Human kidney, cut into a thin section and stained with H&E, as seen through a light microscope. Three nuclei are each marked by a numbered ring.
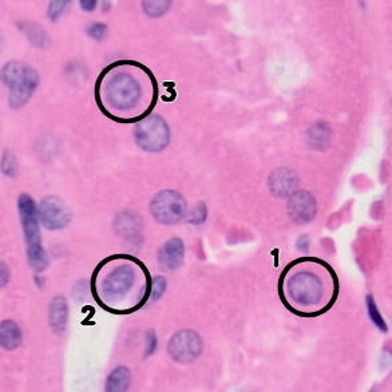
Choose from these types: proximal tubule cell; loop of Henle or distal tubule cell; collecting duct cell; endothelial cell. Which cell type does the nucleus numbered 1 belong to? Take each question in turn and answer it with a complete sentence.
The correct answer for cell 1 is a proximal tubule cell.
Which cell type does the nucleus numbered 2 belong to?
What the number 2 marks in this field is a collecting duct cell.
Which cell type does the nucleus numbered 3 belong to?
The numbered cell 3 in this field is a proximal tubule cell.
